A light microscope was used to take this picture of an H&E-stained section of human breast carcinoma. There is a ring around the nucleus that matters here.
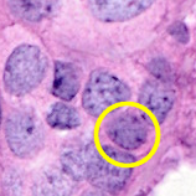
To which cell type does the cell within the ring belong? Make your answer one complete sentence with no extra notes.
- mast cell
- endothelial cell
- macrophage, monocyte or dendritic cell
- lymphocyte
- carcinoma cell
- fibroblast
On this particular slide, the cell within the ring is a carcinoma cell.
